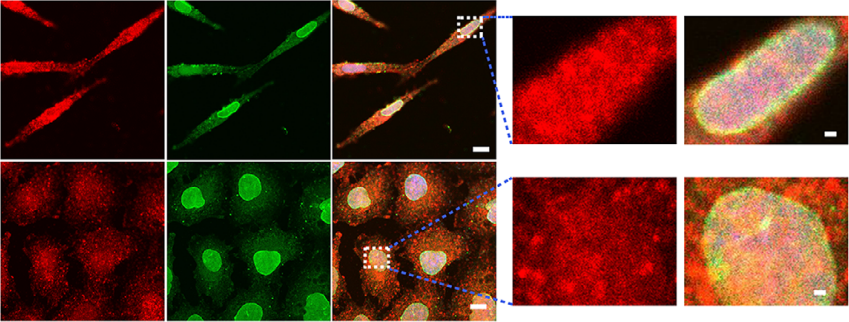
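These are cultured cells of two kinds, seen with fluorescent labels. In the upper row the cells are long and spindle-shaped, each holding a single elongated oval nucleus outlined in green. In the lower row the cells are broader and flatter, lying close together, each with a round to oval nucleus that the green marks at its edge. The red label is spread in a fine granular way through the cytoplasm, and the enlarged views of single nuclei show red overlapping the green rim and the nucleus itself.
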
